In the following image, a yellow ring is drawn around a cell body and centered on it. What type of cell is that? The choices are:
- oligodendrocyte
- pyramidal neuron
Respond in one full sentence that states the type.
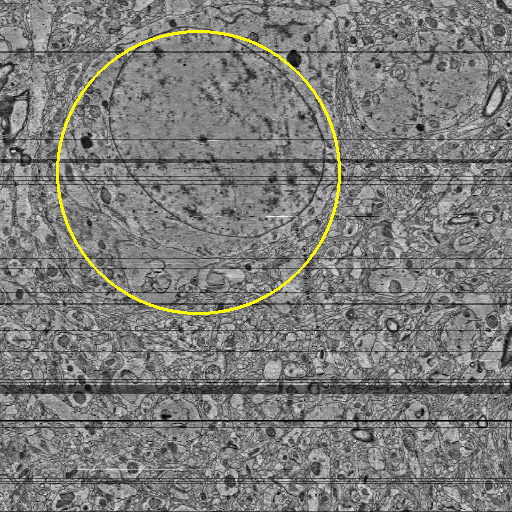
The cell at the center of the yellow ring in the image is a pyramidal neuron.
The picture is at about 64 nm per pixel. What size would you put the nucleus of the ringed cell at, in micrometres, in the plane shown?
About 15 by 12 micrometres in this plane.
